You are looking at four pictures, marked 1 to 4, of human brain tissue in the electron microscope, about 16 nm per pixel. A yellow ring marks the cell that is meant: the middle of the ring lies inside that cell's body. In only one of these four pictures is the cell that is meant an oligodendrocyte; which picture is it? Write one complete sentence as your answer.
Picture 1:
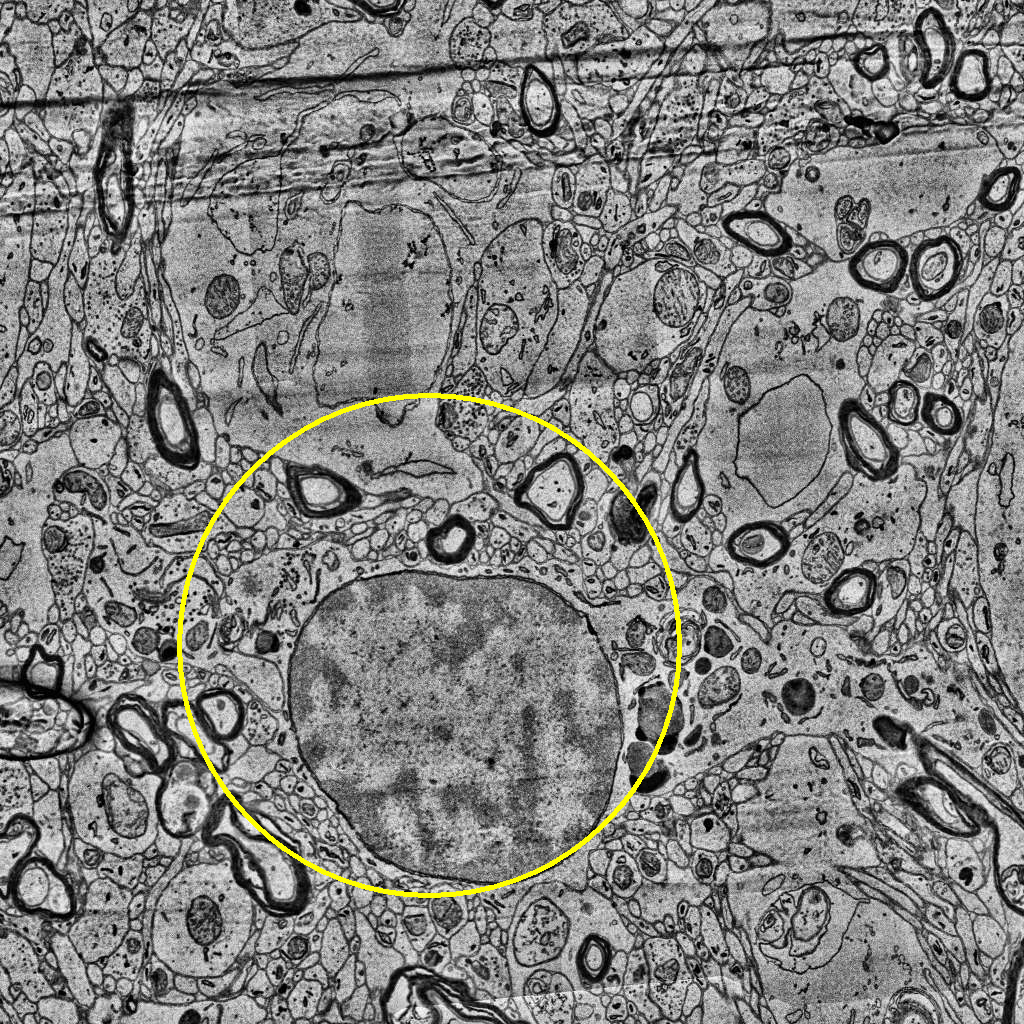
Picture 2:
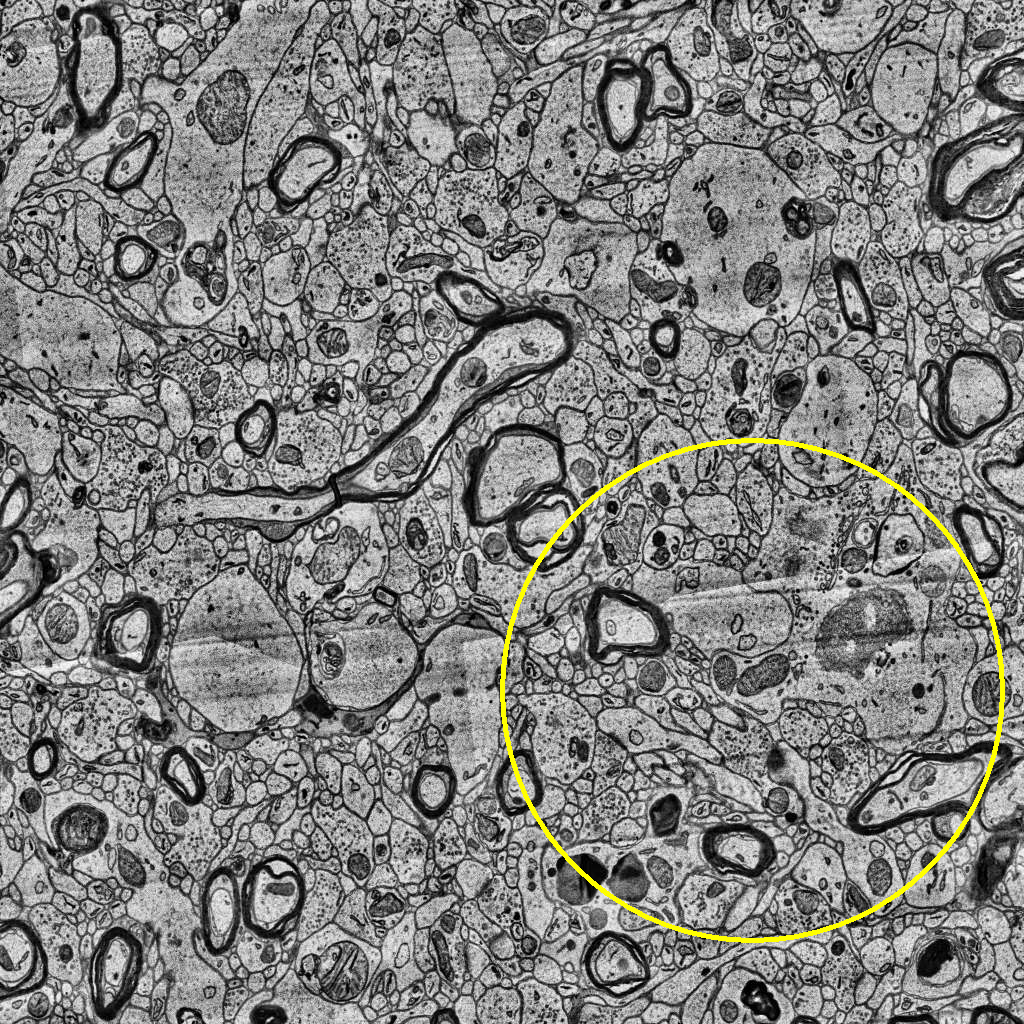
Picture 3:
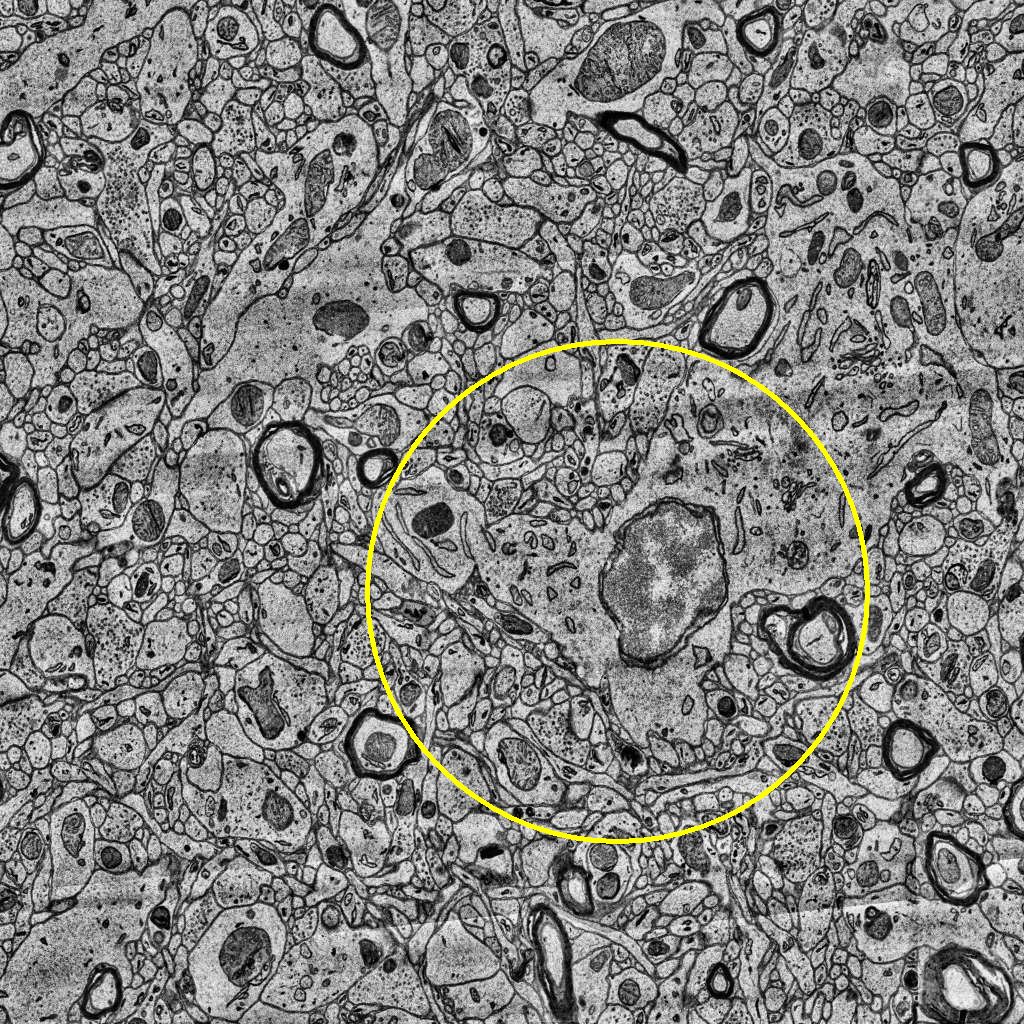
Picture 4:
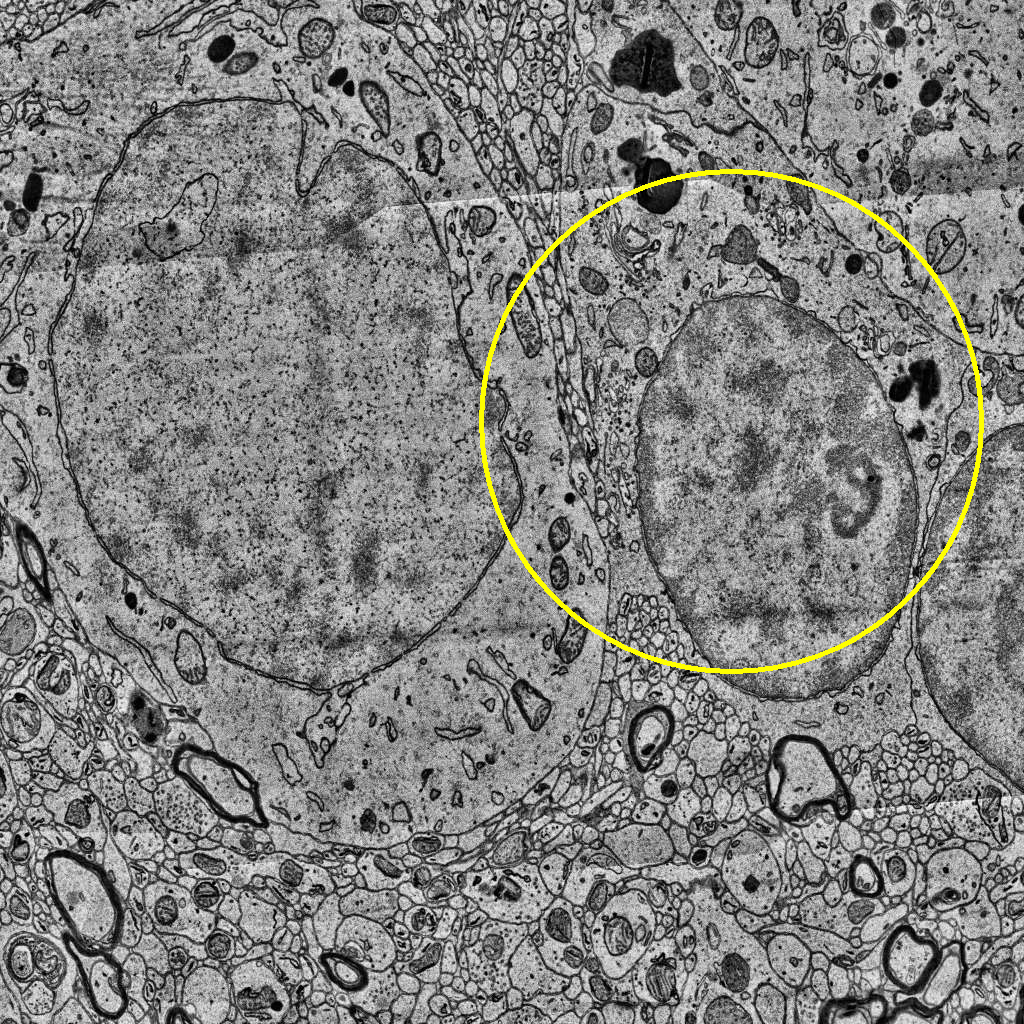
Picture 4 is the one that shows the oligodendrocyte.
